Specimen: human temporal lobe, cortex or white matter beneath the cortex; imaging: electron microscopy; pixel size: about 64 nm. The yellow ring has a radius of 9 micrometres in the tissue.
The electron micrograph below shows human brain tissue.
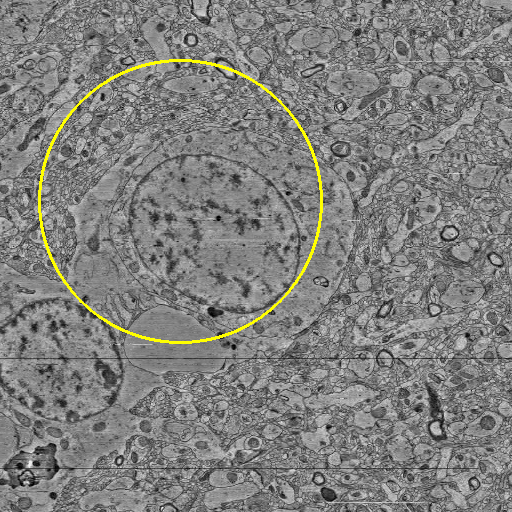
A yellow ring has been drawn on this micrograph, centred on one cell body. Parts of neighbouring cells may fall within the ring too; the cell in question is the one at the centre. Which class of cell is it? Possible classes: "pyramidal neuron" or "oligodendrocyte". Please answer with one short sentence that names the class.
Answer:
In the centre of the ring sits a pyramidal neuron.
